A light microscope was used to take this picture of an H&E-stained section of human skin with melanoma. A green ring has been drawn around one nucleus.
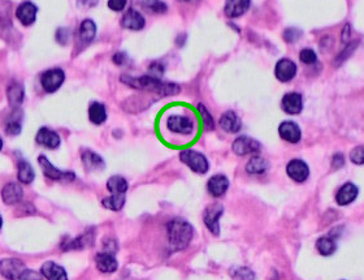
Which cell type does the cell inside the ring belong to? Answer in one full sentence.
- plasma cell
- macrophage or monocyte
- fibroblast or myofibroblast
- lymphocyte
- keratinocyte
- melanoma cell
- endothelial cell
In this section, the cell inside the ring is a lymphocyte.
